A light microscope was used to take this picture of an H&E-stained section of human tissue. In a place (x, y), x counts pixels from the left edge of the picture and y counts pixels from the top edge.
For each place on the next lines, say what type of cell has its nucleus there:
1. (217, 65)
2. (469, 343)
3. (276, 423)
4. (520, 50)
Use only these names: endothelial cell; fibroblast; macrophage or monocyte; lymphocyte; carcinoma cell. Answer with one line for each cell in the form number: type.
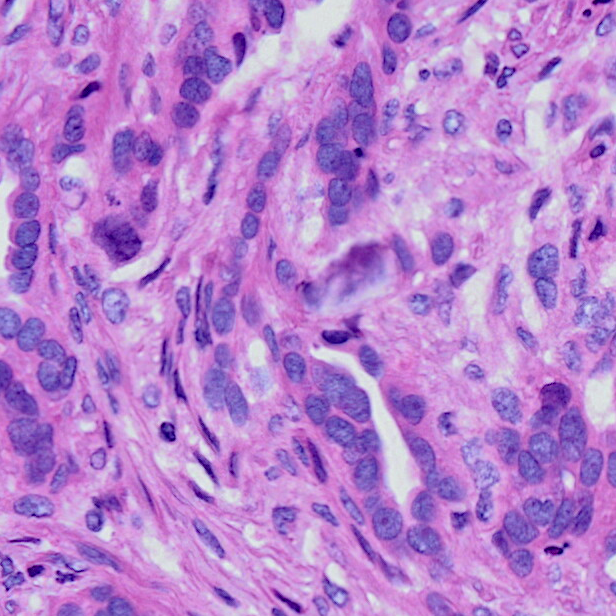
1: carcinoma cell
2: fibroblast
3: fibroblast
4: fibroblast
